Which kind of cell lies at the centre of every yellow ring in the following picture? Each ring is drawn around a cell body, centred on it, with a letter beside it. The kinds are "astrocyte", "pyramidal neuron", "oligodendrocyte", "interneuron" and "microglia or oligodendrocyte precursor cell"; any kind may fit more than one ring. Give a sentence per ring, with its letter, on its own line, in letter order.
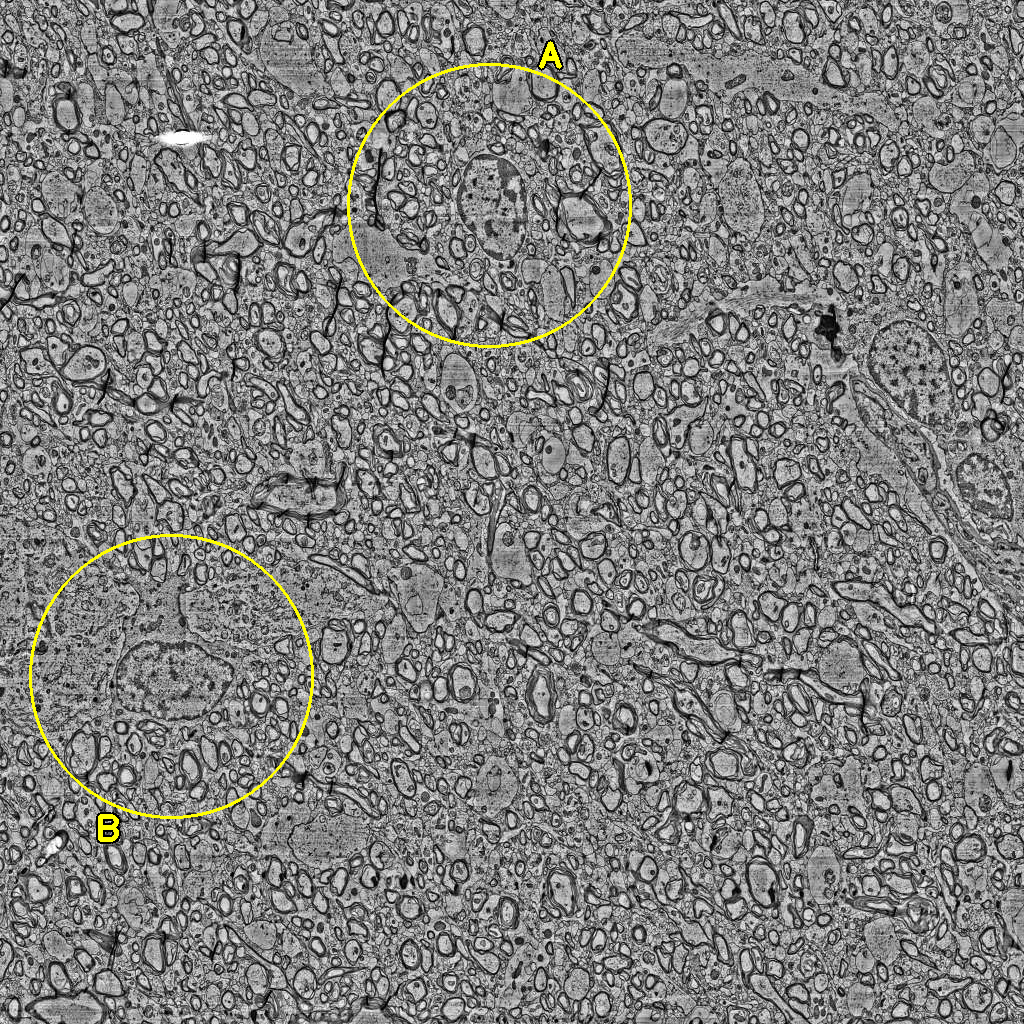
The cell body centred in ring A is that of a microglial cell or oligodendrocyte precursor cell.
The cell body centred in ring B is that of an oligodendrocyte.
